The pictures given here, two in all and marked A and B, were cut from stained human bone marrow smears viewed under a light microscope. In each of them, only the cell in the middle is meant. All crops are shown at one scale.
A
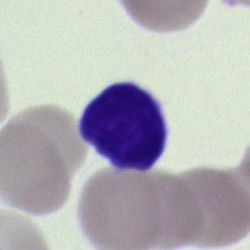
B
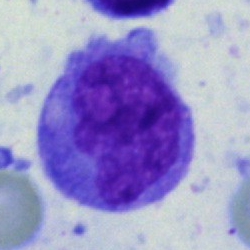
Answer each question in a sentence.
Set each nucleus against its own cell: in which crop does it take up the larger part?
In picture A the nucleus takes up the larger part of its cell.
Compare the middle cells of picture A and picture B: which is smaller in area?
The cell in picture A is smaller; the one in picture B has about 3 times its area.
